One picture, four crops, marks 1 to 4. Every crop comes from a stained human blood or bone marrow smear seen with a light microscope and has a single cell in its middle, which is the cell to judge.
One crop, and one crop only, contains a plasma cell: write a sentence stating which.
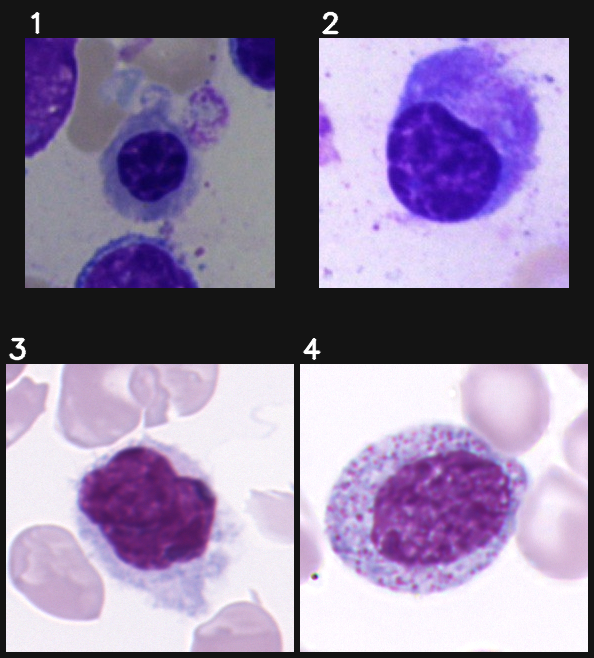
The correct choice is crop 2, the one showing a plasma cell.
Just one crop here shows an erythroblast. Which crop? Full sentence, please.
Of all the crops, crop 1 is the one showing an erythroblast.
